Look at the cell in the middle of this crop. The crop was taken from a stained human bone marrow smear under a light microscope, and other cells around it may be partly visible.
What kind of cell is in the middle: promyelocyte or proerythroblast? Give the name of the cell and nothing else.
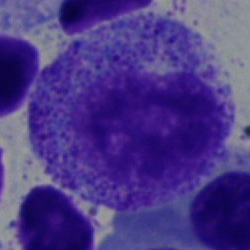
promyelocyte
